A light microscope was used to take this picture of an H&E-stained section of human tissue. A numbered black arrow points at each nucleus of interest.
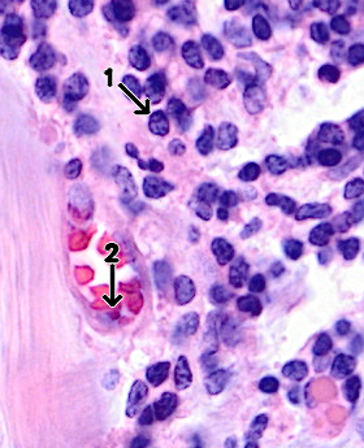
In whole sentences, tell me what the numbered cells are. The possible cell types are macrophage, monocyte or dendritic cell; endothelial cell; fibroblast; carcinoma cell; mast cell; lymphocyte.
Cell 1 is a lymphocyte and cell 2 is an endothelial cell.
